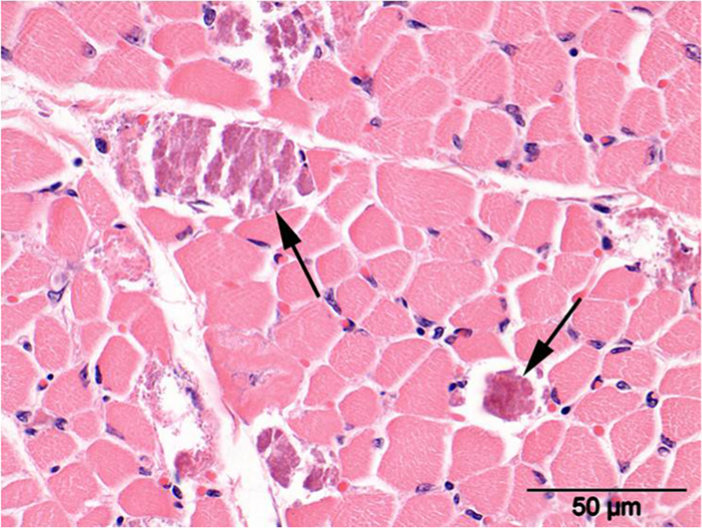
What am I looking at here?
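This is a cross section of skeletal muscle. It shows polygonal pink fibres with nuclei at their edges, grouped into fascicles divided by thin connective tissue septa. Scattered among the normal fibres are single fibres and small groups that are purplish, granular and broken into coarse fragments, with some spaces around them.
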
